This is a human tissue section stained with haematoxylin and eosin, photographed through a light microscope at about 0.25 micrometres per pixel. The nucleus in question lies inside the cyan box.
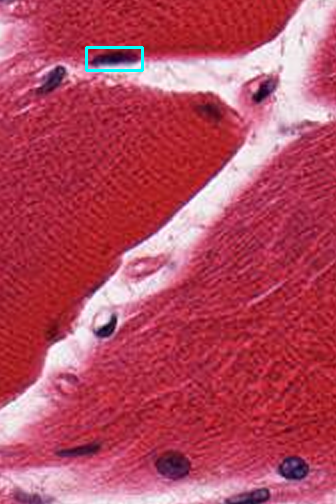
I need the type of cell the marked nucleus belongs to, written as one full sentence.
In this picture, the marked nucleus belongs to a skeletal muscle fibre.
